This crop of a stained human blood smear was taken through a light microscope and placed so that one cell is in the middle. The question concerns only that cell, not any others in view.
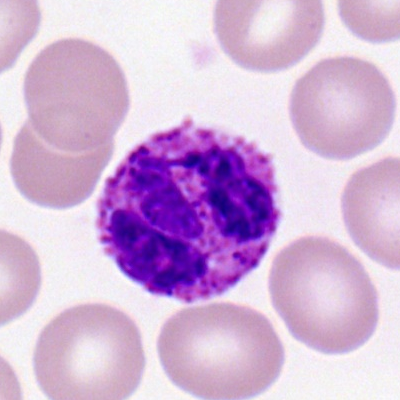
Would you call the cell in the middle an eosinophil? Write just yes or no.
no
